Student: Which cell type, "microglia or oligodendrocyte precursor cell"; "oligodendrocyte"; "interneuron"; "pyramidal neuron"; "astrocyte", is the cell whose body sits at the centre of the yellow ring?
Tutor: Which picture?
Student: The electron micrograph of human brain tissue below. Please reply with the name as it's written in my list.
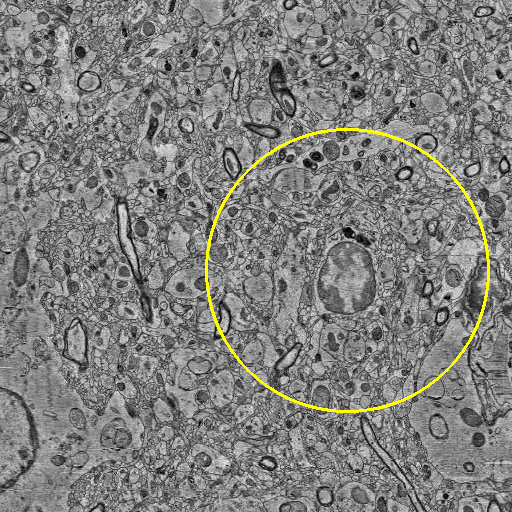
microglia or oligodendrocyte precursor cell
